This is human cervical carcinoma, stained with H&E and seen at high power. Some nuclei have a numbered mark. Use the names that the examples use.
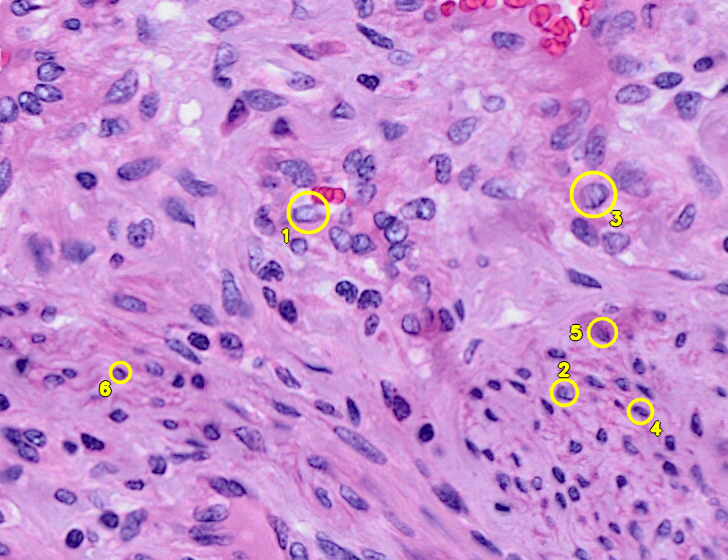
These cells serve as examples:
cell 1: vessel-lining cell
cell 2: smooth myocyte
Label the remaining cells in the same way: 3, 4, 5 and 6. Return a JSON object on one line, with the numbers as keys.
{"3": "vessel-lining cell", "4": "smooth myocyte", "5": "smooth myocyte", "6": "smooth myocyte"}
